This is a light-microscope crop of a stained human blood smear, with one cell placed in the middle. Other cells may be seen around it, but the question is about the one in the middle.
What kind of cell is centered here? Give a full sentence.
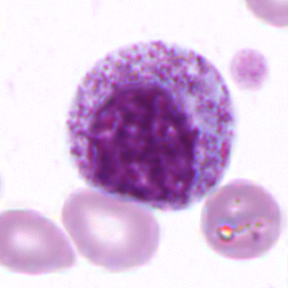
The middle position in this crop is taken by a myelocyte.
